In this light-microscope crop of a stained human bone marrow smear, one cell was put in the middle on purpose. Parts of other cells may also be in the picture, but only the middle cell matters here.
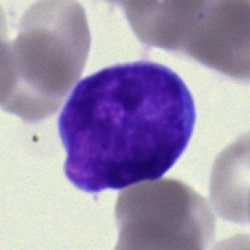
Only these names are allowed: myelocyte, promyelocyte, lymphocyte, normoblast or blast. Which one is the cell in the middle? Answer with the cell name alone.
blast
